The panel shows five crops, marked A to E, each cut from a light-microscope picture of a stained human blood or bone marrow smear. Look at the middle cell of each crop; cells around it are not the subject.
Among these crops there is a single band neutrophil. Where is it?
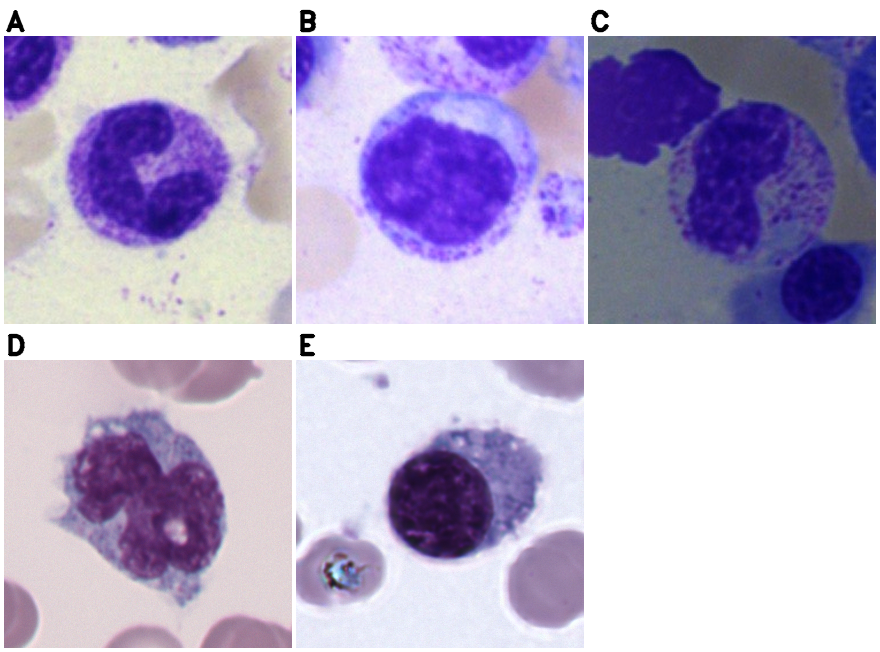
A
